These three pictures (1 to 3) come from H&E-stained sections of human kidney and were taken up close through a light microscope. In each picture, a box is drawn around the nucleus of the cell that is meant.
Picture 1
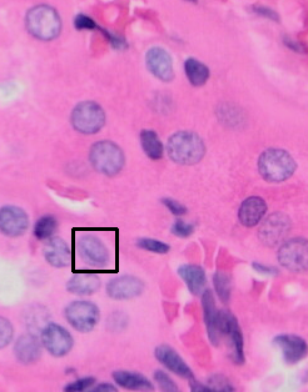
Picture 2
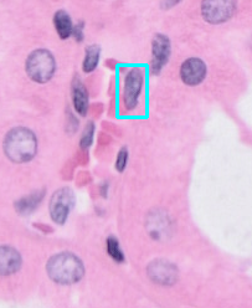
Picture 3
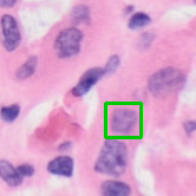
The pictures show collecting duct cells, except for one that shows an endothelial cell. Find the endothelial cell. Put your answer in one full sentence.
The picture with the endothelial cell is 2.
